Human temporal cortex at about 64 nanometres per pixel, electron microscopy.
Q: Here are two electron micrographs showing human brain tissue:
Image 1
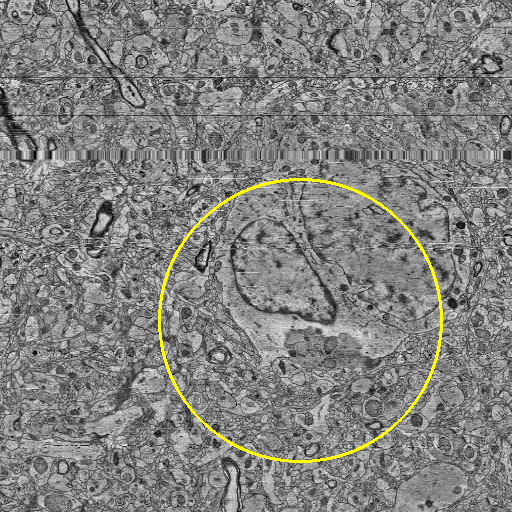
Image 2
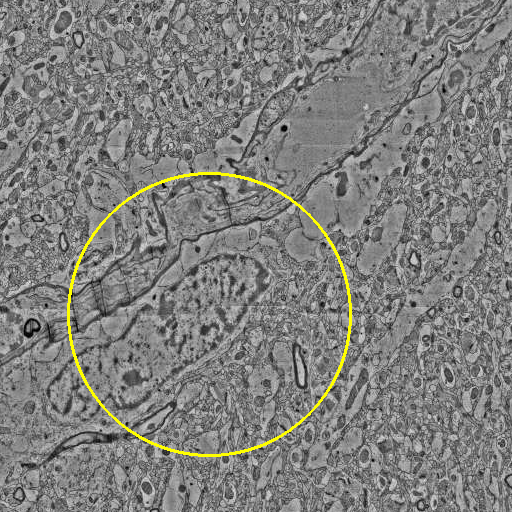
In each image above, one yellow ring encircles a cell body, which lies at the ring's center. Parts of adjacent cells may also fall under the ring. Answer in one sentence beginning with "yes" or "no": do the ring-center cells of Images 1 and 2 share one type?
Yes, in Images 1 and 2, the ring-center cells are both of one type.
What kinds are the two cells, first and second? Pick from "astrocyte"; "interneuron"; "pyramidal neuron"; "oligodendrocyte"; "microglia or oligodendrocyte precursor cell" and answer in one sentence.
In both pictures the ring is centred on a microglial cell or oligodendrocyte precursor cell.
